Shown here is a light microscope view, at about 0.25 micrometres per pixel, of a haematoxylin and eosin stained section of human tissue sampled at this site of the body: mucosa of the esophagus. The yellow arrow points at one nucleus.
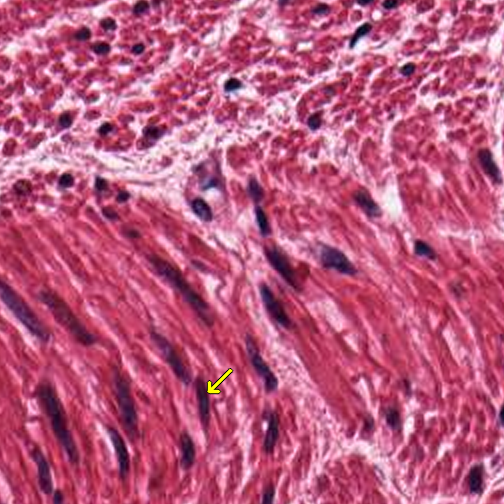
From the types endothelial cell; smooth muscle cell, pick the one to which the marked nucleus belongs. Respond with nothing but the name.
smooth muscle cell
